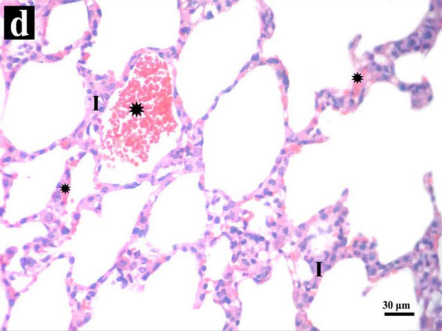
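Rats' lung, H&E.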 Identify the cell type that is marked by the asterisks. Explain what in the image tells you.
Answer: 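The large asterisk lies on a dense mass of small red anucleate cells. Small asterisks lie on red cells within the walls between air spaces. On this evidence: erythrocytes.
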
